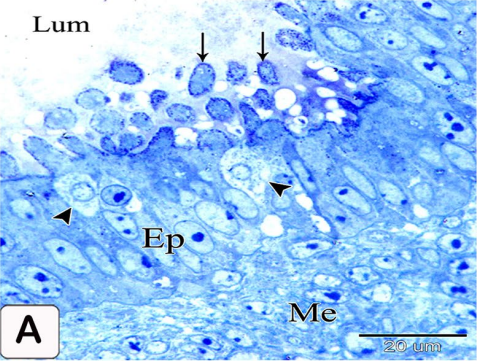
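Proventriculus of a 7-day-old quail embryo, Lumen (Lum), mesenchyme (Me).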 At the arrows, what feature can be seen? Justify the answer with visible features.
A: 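Projections containing intense blue granules. Rounded bulges protrude from the apical surface into the lumen. The bulges contain dark blue granules.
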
